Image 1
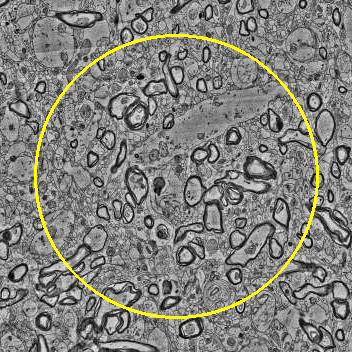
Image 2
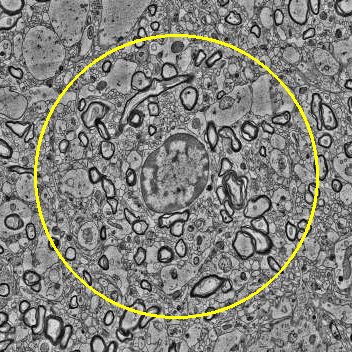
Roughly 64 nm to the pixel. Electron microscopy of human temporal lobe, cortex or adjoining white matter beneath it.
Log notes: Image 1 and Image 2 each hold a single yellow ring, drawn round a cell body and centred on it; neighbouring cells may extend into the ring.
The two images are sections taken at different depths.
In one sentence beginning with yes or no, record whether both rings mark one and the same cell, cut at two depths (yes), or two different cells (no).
Yes, a single cell is the subject of both yellow rings.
